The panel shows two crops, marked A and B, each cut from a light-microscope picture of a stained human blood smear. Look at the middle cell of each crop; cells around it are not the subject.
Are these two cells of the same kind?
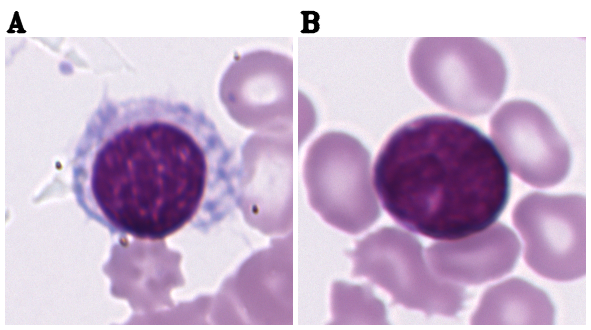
no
